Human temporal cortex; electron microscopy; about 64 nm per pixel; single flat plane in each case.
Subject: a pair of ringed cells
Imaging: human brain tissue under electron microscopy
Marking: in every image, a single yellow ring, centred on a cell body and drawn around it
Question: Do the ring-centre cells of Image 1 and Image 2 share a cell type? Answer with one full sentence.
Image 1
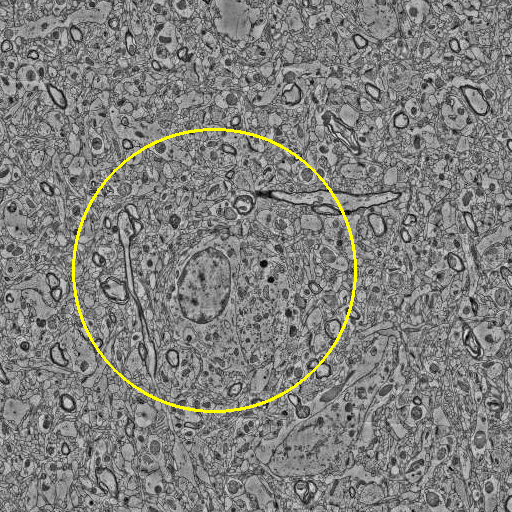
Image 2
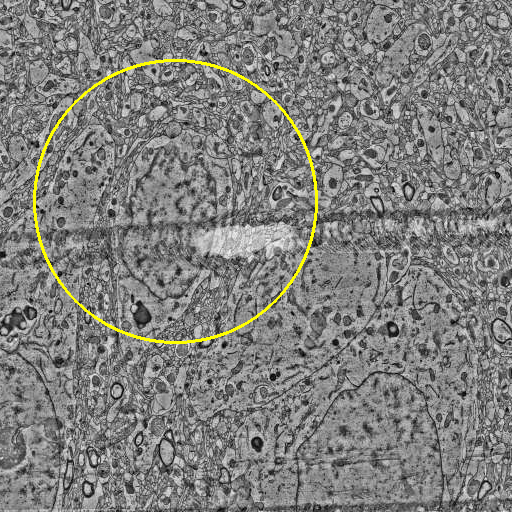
No, at the ring centres in the images sit cells of two separate types.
